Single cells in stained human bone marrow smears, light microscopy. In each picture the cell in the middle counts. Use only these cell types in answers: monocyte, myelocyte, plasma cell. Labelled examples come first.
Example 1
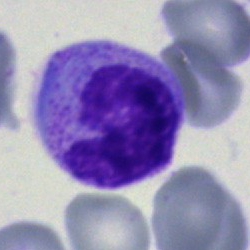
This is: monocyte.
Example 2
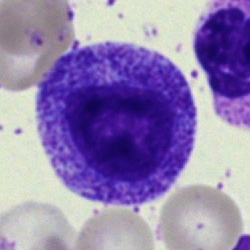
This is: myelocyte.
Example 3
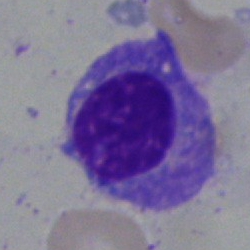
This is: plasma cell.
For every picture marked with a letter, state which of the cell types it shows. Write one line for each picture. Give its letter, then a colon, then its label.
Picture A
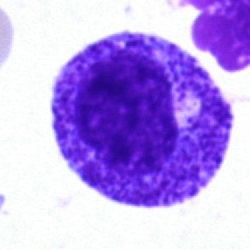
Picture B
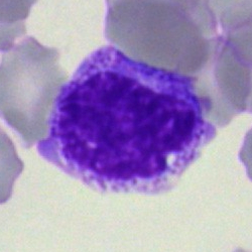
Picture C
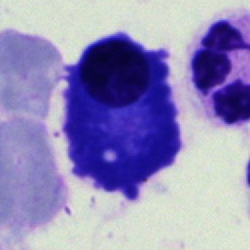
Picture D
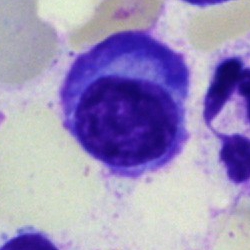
A: myelocyte.
B: myelocyte.
C: plasma cell.
D: plasma cell.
